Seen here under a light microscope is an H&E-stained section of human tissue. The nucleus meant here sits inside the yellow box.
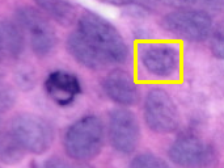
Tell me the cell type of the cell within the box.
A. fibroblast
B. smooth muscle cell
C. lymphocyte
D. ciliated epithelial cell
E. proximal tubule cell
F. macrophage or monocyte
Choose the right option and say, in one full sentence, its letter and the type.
In keeping with option F, the cell within the box is a macrophage or monocyte.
